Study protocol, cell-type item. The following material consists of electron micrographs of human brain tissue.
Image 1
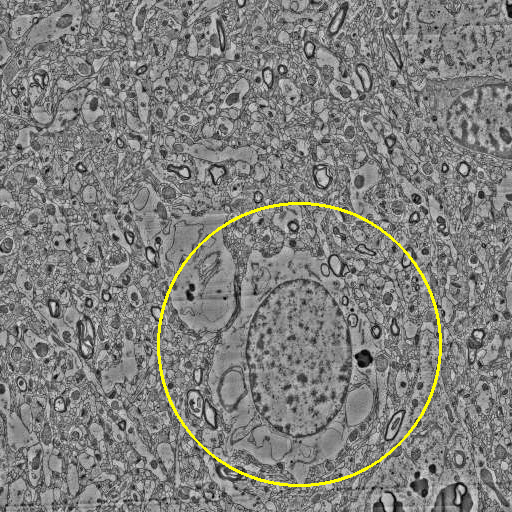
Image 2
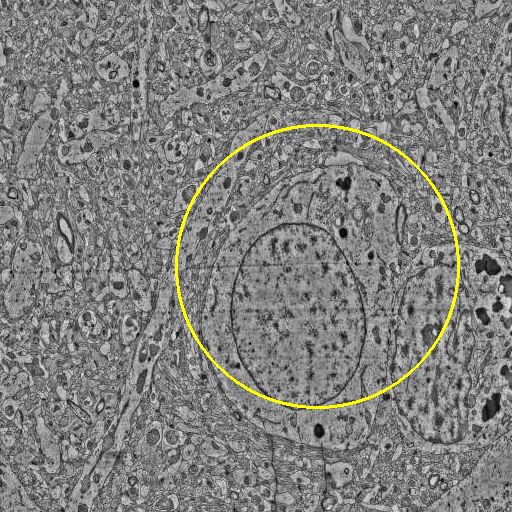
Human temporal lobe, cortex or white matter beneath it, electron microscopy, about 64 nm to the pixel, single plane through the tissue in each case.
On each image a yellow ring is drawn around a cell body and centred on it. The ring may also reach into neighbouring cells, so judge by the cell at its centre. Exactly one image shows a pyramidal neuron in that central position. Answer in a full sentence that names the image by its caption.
The cell at the centre of the ring in Image 2 is of that kind.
